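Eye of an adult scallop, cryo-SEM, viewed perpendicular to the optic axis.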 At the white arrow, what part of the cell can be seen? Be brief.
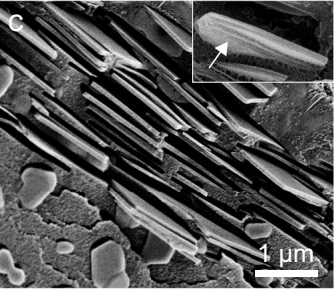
the delimiting membrane of the iridosome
